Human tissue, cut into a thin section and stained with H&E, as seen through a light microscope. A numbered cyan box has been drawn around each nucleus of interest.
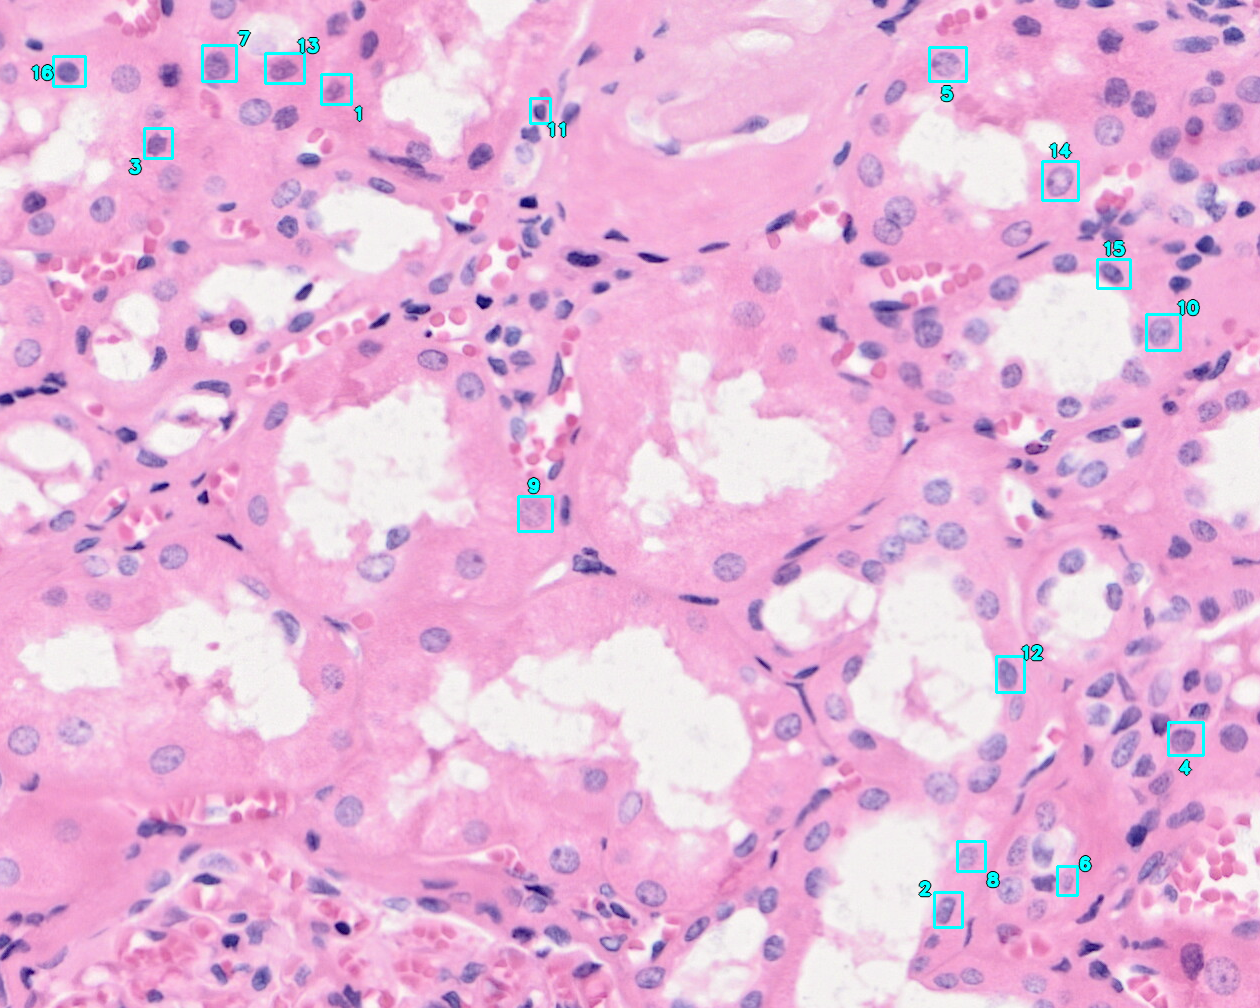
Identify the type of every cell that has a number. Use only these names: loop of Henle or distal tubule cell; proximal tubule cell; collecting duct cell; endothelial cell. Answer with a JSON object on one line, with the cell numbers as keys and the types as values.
{"1": "proximal tubule cell", "2": "loop of Henle or distal tubule cell", "3": "proximal tubule cell", "4": "collecting duct cell", "5": "proximal tubule cell", "6": "collecting duct cell", "7": "proximal tubule cell", "8": "loop of Henle or distal tubule cell", "9": "proximal tubule cell", "10": "loop of Henle or distal tubule cell", "11": "endothelial cell", "12": "loop of Henle or distal tubule cell", "13": "proximal tubule cell", "14": "proximal tubule cell", "15": "loop of Henle or distal tubule cell", "16": "proximal tubule cell"}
